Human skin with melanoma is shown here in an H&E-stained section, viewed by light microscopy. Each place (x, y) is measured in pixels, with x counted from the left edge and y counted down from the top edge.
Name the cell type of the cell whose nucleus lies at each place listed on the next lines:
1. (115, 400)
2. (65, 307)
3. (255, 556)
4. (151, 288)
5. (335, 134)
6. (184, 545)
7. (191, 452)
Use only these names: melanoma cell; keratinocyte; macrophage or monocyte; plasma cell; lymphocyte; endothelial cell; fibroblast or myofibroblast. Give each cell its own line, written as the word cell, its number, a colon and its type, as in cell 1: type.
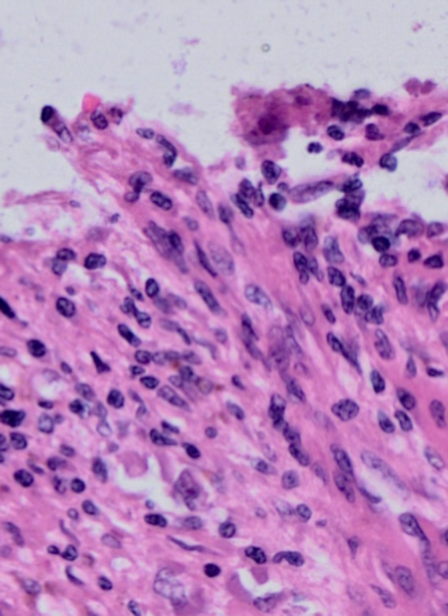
cell 1: lymphocyte
cell 2: plasma cell
cell 3: plasma cell
cell 4: lymphocyte
cell 5: lymphocyte
cell 6: fibroblast or myofibroblast
cell 7: lymphocyte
